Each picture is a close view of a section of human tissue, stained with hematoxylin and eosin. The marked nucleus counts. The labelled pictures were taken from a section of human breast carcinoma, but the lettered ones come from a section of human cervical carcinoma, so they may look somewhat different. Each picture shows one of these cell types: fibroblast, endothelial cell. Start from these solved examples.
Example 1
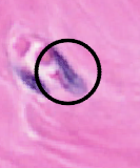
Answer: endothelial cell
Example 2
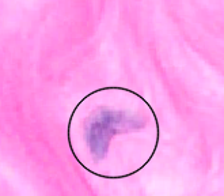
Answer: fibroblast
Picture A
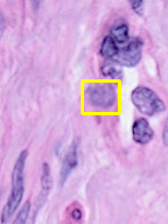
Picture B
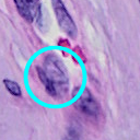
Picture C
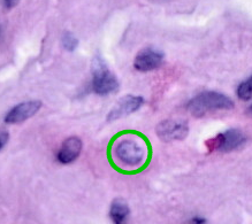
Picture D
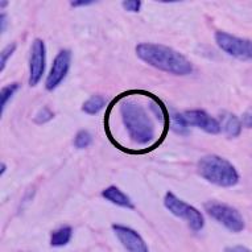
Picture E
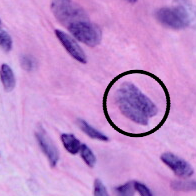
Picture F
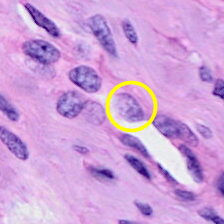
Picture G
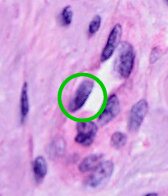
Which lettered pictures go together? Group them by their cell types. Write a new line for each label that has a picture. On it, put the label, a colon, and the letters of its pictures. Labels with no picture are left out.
fibroblast: D, E
endothelial cell: A, B, C, F, G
